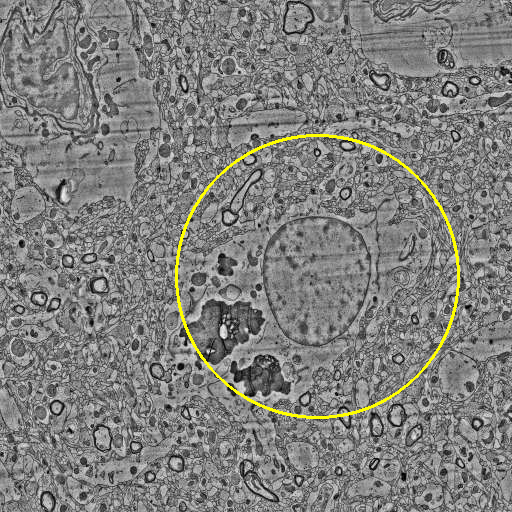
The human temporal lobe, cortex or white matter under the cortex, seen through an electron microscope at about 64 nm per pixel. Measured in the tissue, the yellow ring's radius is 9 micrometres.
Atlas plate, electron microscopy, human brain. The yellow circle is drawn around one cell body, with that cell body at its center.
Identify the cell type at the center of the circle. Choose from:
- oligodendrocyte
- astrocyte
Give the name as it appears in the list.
astrocyte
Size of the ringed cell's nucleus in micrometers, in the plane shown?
Roughly 8 by 7 micrometres in this plane, for the nucleus of the ringed cell.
